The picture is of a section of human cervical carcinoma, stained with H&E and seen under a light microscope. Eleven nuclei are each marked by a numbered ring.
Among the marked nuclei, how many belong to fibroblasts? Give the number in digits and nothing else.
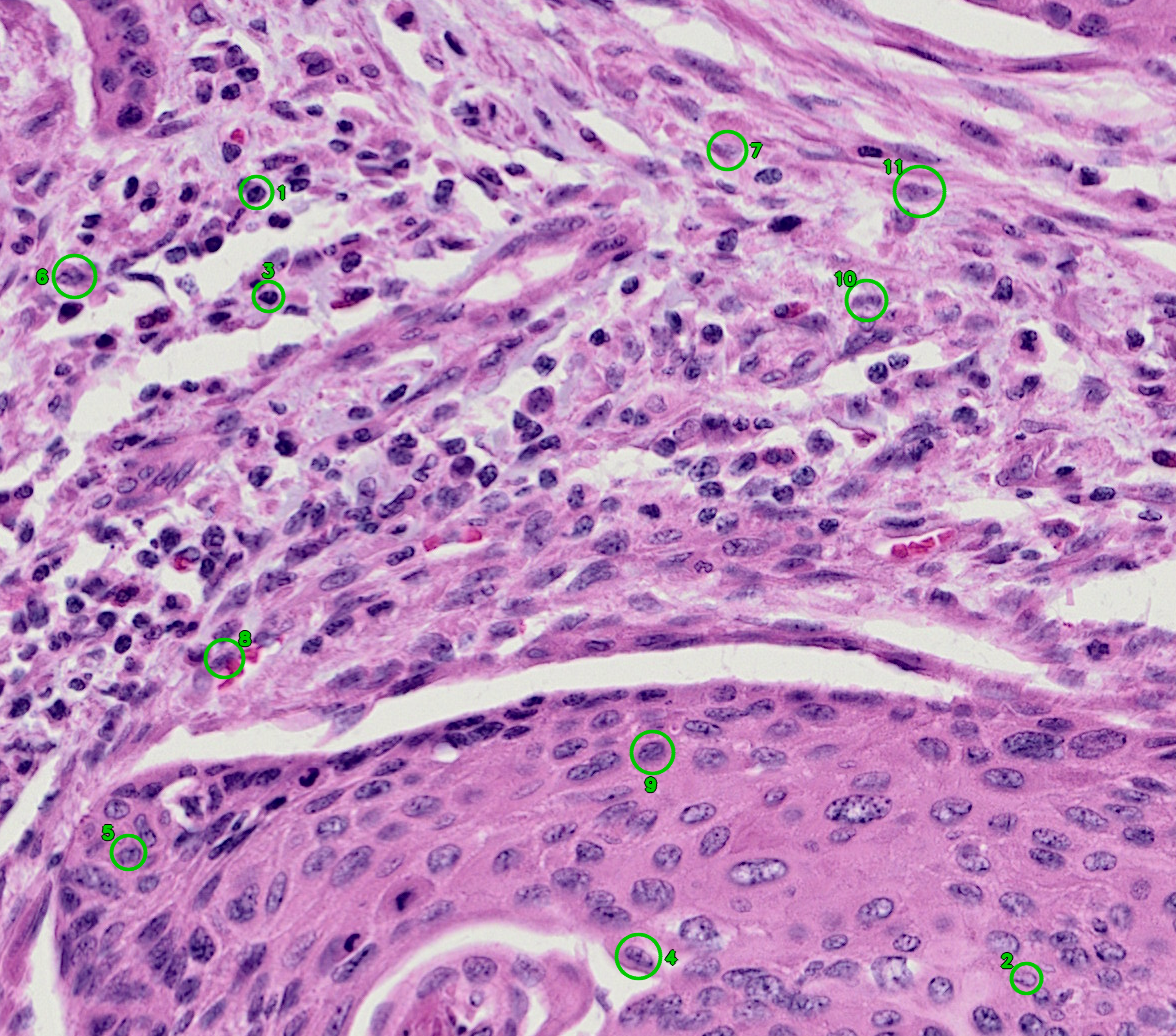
3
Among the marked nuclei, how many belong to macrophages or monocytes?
1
